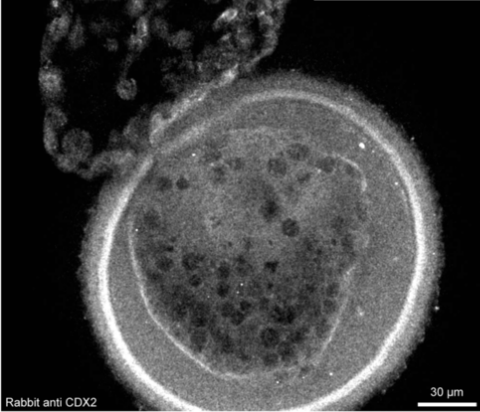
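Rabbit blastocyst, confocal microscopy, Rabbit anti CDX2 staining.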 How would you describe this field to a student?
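This is an early embryo wrapped in its zona pellucida, which shows as a broad, very bright, smooth ring around the lower body. Inside the ring, the blastomere nuclei appear as many small dark round spots set against a diffuse grey background, rather than as bright nuclei. At the upper left, outside the ring, a loop of cells shows their nuclei as brighter rounded grey bodies lined up along a thin sheet.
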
